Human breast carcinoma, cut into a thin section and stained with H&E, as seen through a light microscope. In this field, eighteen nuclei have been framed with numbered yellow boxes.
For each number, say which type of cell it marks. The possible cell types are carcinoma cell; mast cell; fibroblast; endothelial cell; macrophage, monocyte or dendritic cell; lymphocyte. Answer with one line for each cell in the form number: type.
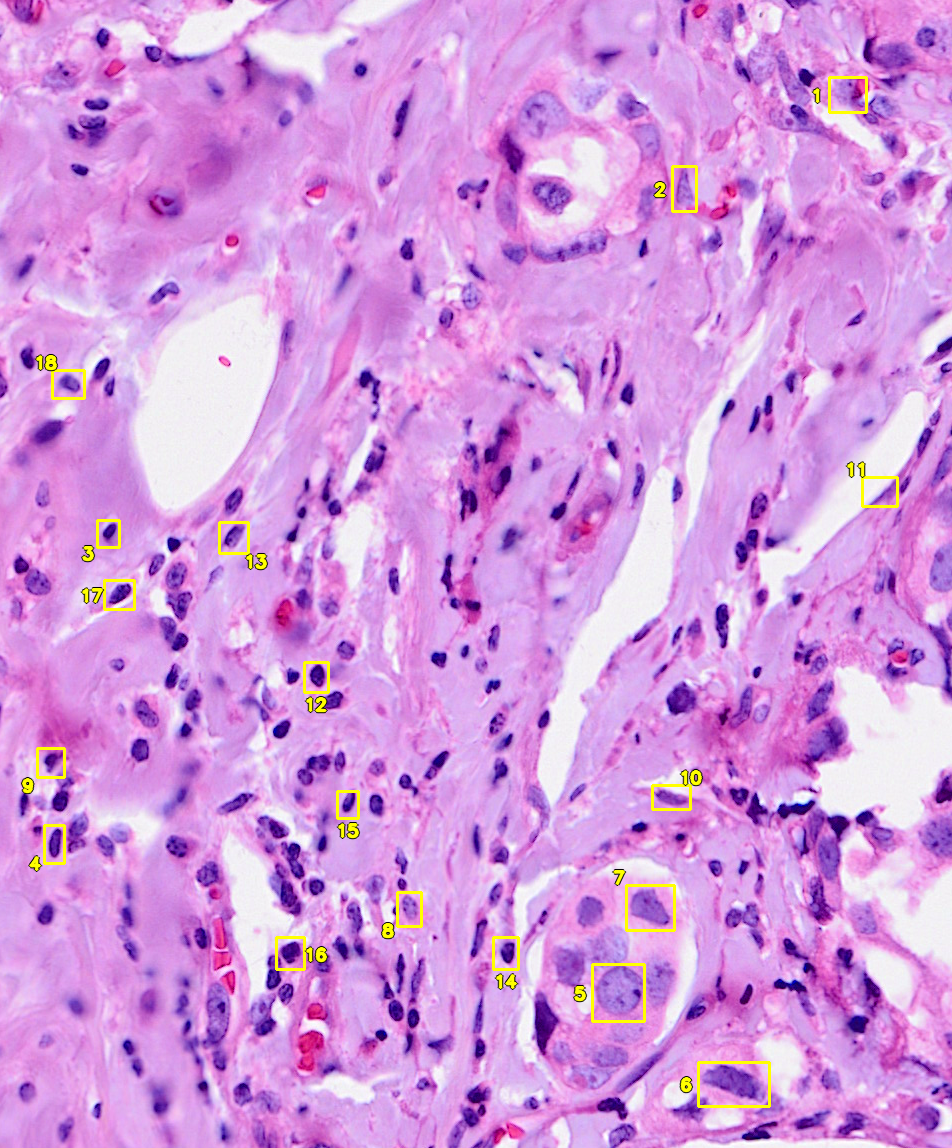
1: endothelial cell
2: endothelial cell
3: lymphocyte
4: lymphocyte
5: carcinoma cell
6: carcinoma cell
7: carcinoma cell
8: mast cell
9: lymphocyte
10: fibroblast
11: fibroblast
12: lymphocyte
13: lymphocyte
14: lymphocyte
15: lymphocyte
16: lymphocyte
17: lymphocyte
18: lymphocyte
